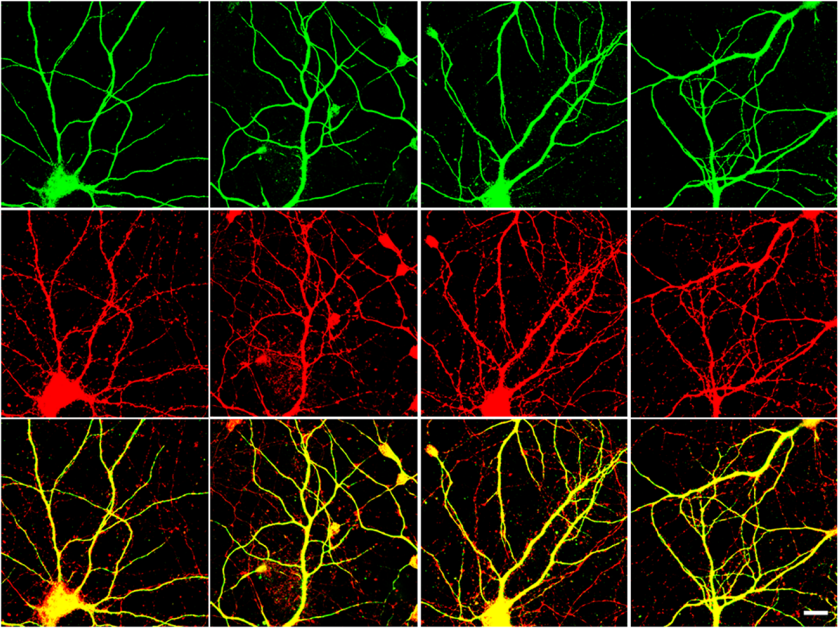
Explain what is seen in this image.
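In the green row the cell bodies and their dendrites are filled: from each body several thick trunks leave and divide again and again into ever thinner, tapering branches. The red row shows the same cells, with the red also forming small dots and fine strands along and between the branches. In the merged row, where the two colours overlap, the dendrites appear yellow, while red dots sit along their edges and scattered in the background. Some fields contain several small cell bodies among the branches.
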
